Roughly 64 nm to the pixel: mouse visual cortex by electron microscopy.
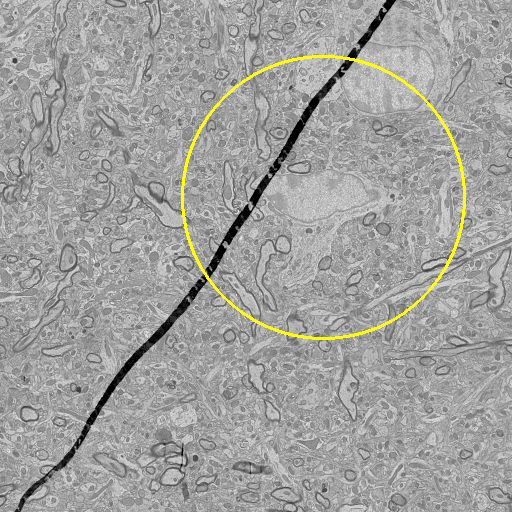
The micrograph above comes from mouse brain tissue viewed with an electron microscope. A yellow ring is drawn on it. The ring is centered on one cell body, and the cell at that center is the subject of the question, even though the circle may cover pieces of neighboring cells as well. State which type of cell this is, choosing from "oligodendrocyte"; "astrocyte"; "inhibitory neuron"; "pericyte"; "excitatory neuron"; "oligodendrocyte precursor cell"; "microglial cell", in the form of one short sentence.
The cell the ring is centered on is an oligodendrocyte precursor cell.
